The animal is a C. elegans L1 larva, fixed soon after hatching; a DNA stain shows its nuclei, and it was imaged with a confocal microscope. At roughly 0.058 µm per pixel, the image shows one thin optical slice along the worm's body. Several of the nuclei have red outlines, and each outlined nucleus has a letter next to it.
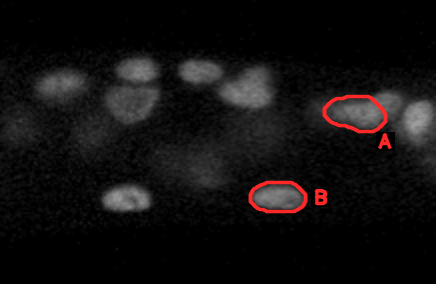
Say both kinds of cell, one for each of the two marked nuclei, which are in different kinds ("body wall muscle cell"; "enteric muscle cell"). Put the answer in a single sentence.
B belongs to a body wall muscle cell, and A to an enteric muscle cell.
